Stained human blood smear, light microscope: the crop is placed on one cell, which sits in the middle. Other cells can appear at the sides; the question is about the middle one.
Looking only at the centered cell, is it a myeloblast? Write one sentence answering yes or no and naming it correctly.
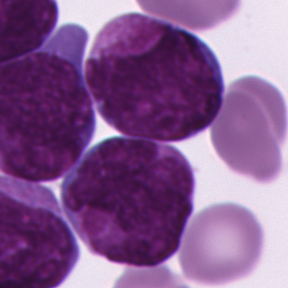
Yes, this crop has a myeloblast at its centre.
